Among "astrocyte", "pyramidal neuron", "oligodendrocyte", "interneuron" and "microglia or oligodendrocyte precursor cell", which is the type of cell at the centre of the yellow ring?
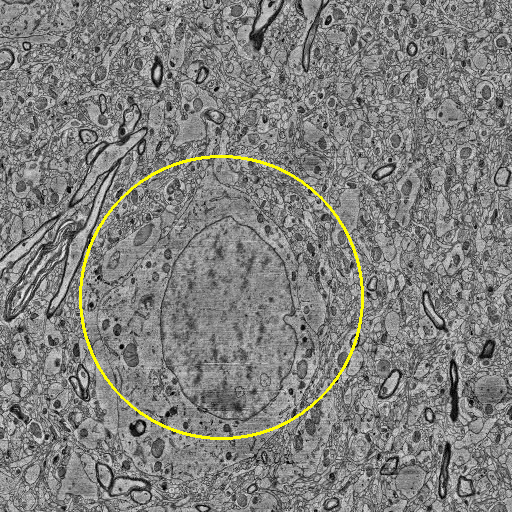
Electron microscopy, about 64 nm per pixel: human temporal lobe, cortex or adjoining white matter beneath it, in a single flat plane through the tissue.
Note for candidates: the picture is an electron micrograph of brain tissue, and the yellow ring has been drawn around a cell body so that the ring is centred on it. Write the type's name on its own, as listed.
pyramidal neuron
